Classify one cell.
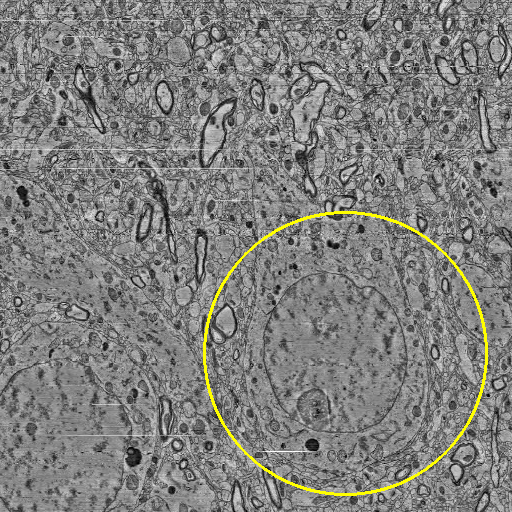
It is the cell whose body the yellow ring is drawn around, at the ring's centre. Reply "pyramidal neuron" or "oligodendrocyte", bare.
pyramidal neuron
